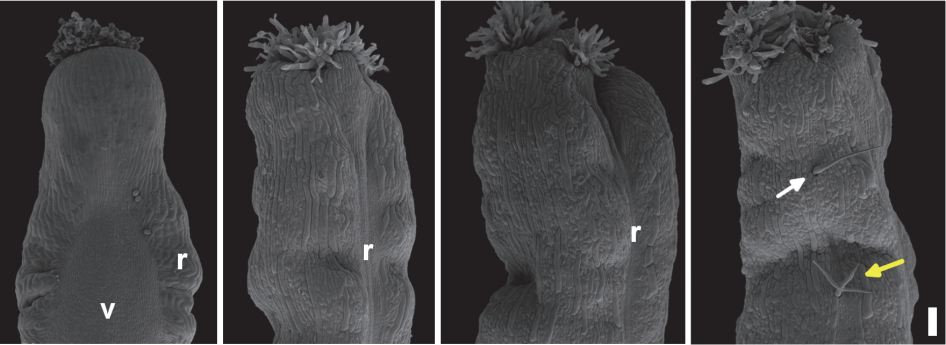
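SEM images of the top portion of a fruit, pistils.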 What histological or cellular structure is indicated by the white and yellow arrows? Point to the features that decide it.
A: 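Simple or branched trichomes. Thin hair-like outgrowths rise from the pistil surface at the arrows. The hair at the white arrow is a single unbranched stalk. The hair at the yellow arrow splits into several branches.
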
